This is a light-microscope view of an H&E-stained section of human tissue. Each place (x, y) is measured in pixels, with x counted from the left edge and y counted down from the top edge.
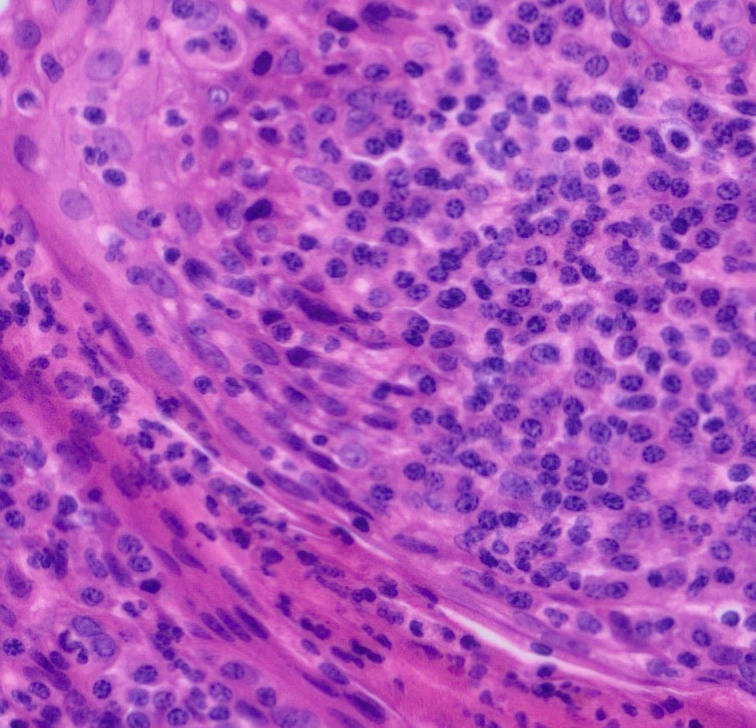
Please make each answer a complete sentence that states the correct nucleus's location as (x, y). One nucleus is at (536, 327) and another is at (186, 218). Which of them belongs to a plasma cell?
The pair contains one nucleus of a plasma cell, namely the one at (536, 327).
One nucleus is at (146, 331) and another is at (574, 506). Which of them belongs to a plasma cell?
At (574, 506) lies the nucleus that belongs to a plasma cell.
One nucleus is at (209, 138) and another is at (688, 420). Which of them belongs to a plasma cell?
The cell to which the nucleus at (688, 420) belongs is a plasma cell.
